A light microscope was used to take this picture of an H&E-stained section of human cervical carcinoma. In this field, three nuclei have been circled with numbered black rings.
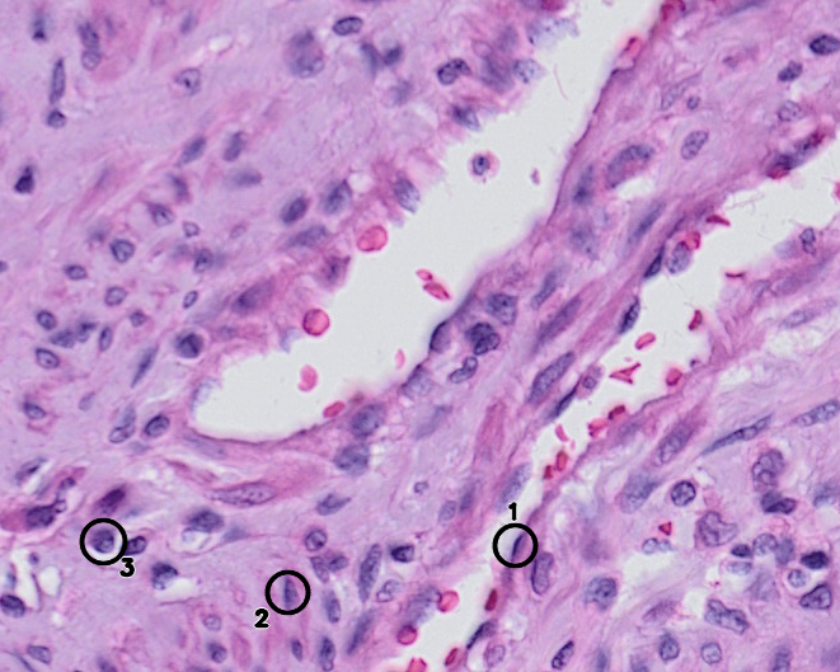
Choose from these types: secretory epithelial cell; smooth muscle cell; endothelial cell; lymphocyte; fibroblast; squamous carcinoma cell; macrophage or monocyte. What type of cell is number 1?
endothelial cell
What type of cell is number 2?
smooth muscle cell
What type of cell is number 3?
lymphocyte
